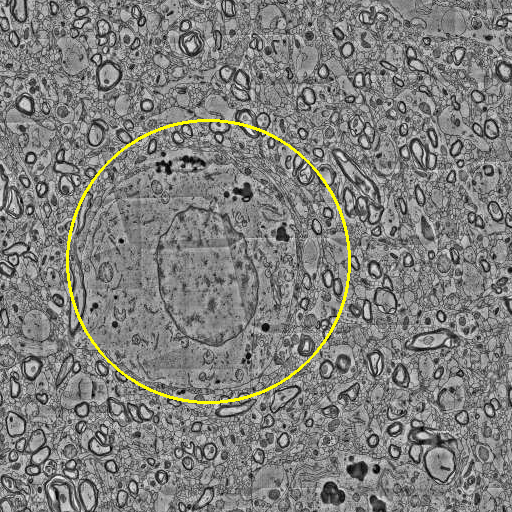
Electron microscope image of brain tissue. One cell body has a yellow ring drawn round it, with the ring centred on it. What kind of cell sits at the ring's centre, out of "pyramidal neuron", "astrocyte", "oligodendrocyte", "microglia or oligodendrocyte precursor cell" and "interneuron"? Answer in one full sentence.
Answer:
It is a pyramidal neuron whose cell body sits at the centre of the yellow ring.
